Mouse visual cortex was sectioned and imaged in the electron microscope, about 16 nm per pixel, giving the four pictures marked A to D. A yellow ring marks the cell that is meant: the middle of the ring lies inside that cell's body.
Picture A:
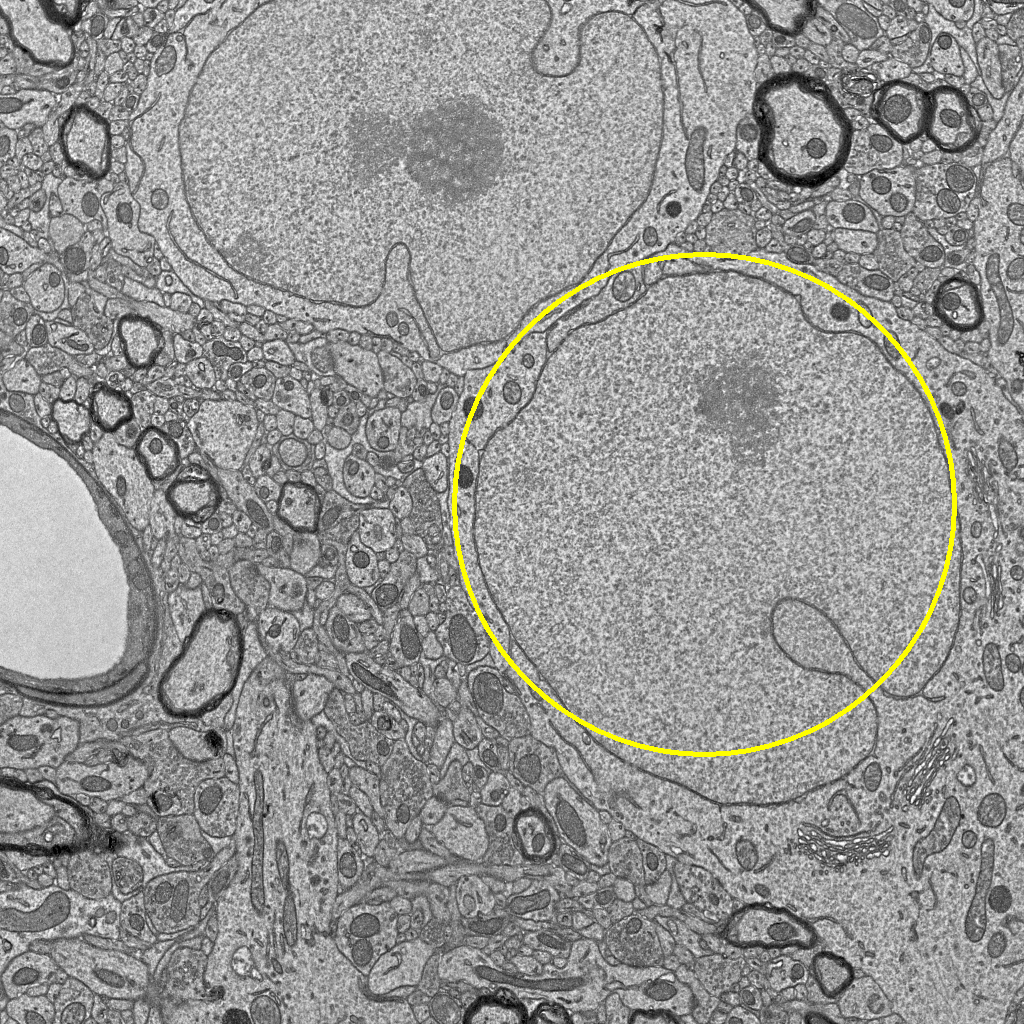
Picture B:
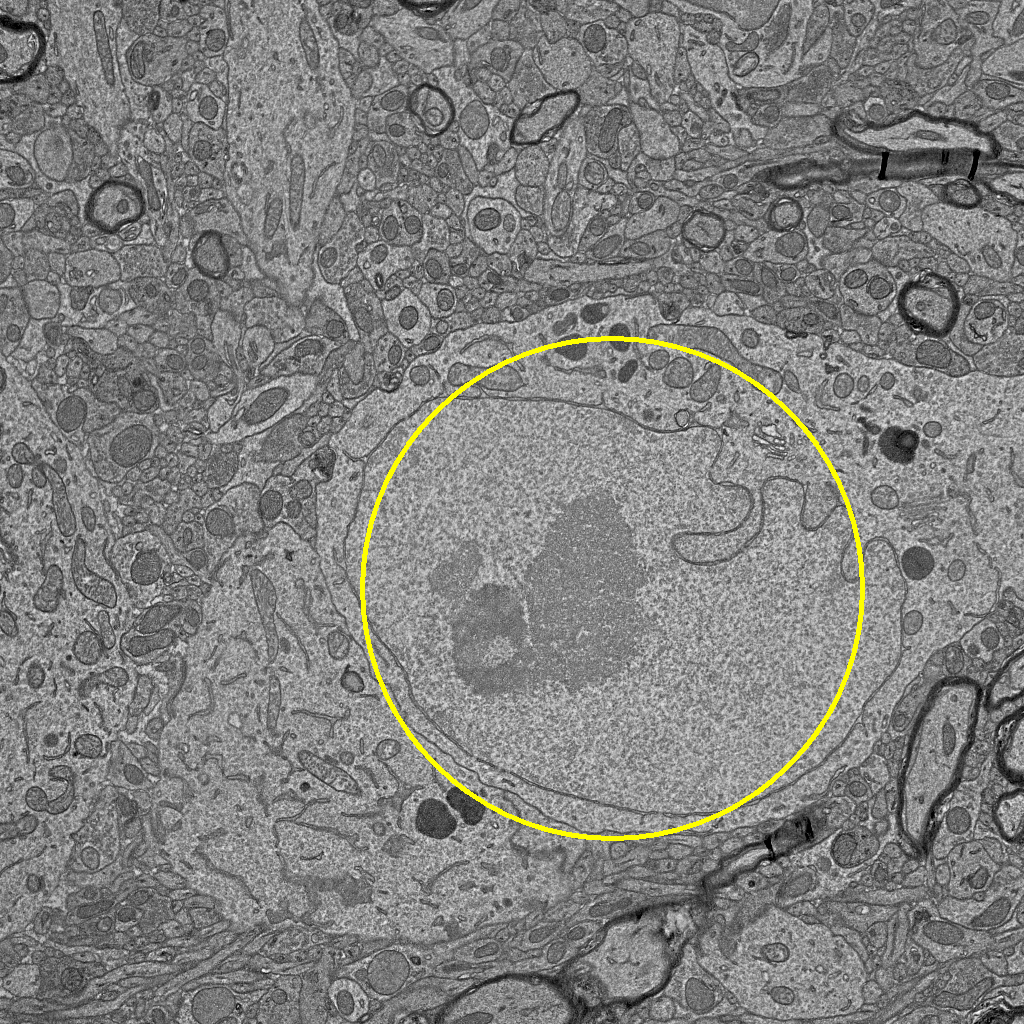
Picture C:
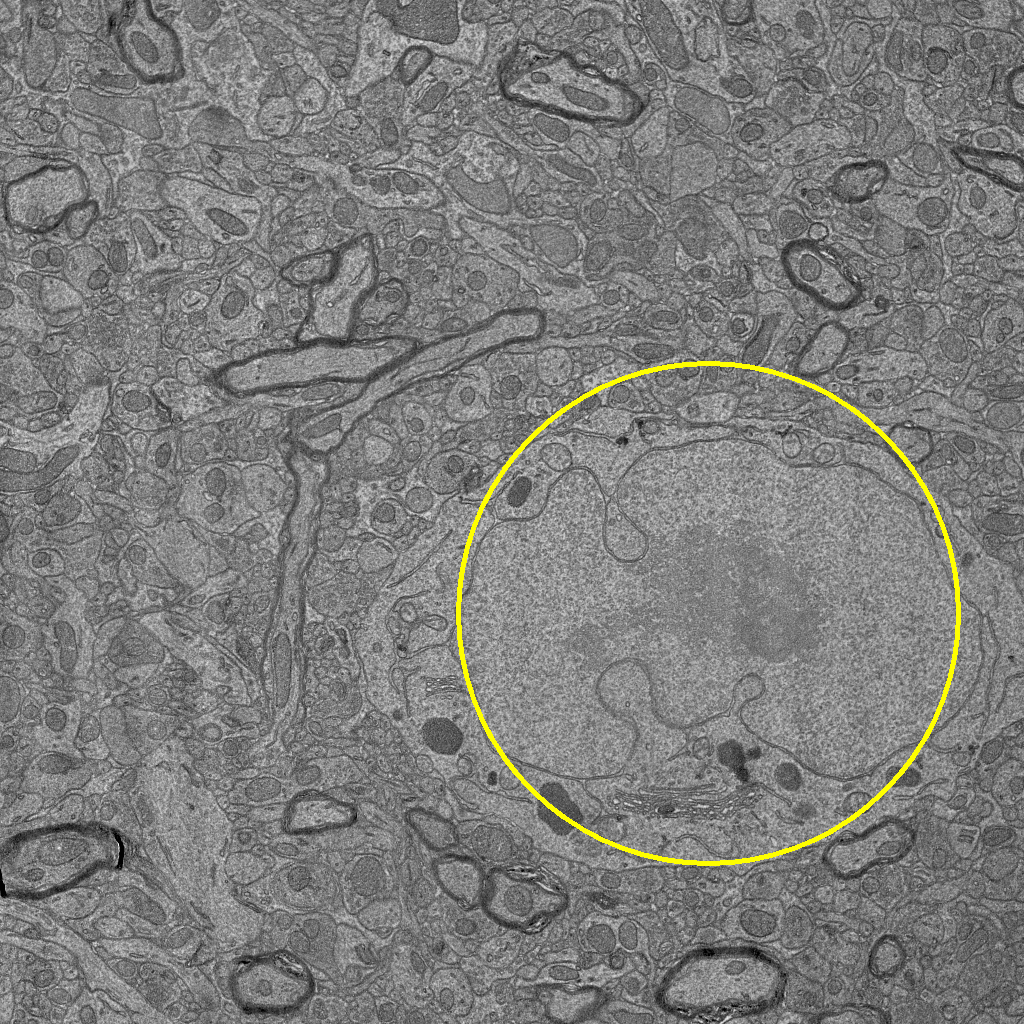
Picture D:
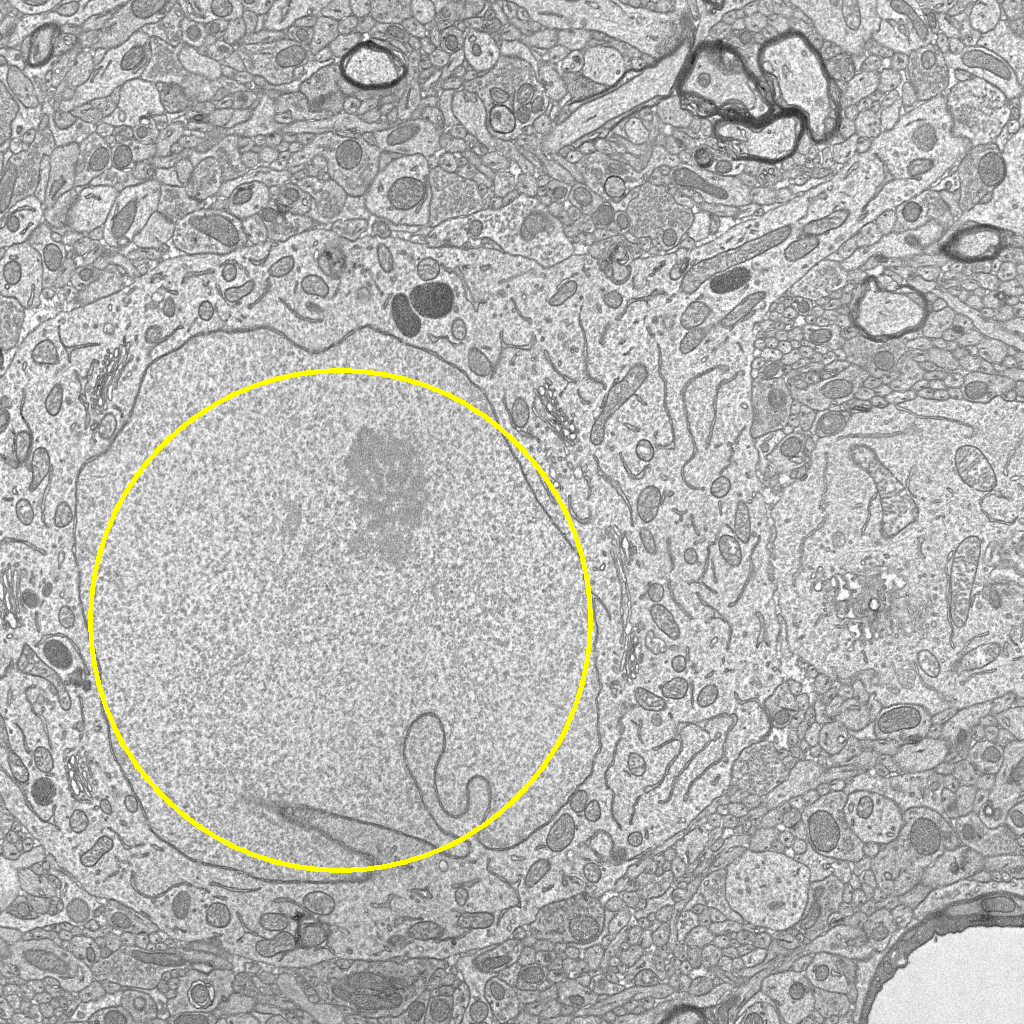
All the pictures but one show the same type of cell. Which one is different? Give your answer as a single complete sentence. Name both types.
Picture A is the odd one out: it shows an excitatory neuron, while the others show inhibitory neurons.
